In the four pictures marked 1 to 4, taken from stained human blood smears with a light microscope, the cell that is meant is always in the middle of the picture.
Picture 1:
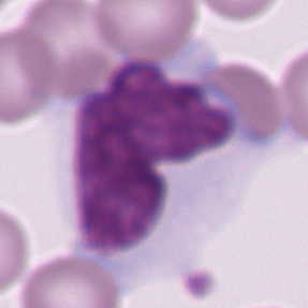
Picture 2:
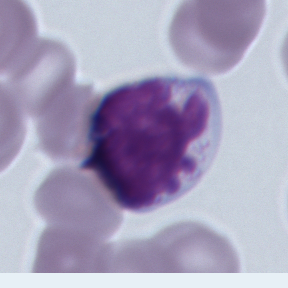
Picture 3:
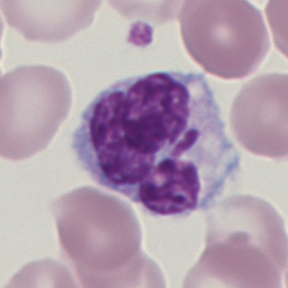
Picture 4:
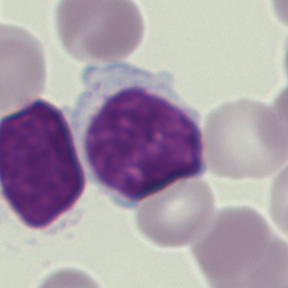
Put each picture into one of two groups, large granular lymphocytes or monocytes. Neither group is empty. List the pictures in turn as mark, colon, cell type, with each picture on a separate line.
1: monocyte
2: large granular lymphocyte
3: monocyte
4: large granular lymphocyte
